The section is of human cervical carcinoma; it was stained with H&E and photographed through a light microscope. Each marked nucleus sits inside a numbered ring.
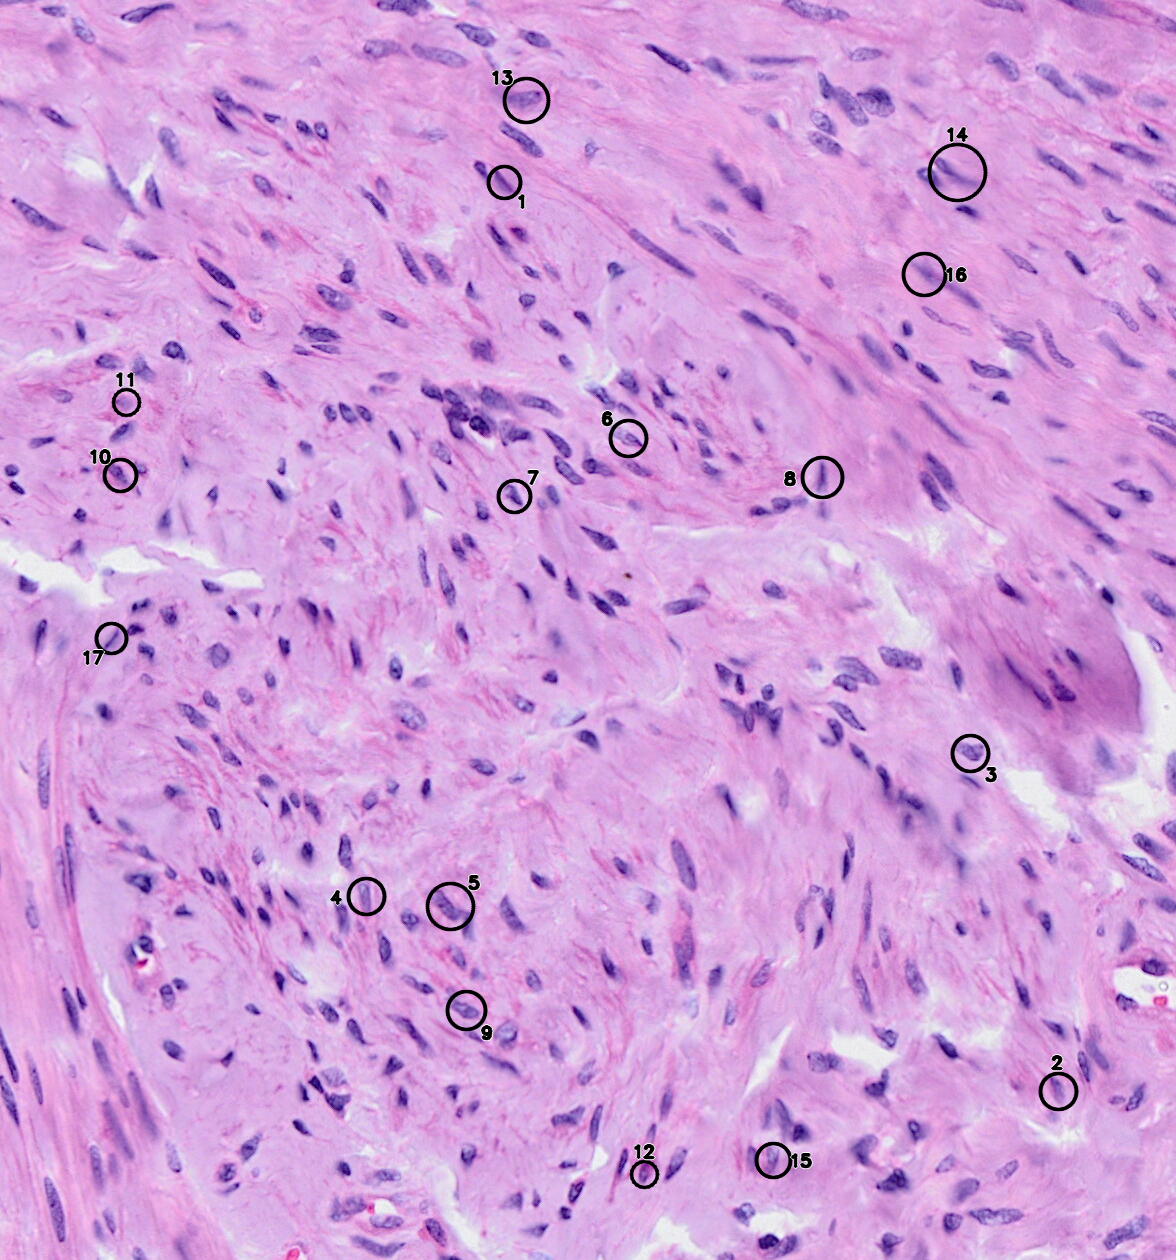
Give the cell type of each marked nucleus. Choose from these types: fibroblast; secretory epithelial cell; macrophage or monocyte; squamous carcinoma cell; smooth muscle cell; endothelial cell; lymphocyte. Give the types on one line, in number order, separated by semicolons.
fibroblast; smooth muscle cell; fibroblast; smooth muscle cell; smooth muscle cell; fibroblast; fibroblast; fibroblast; smooth muscle cell; smooth muscle cell; smooth muscle cell; smooth muscle cell; smooth muscle cell; fibroblast; smooth muscle cell; fibroblast; fibroblast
